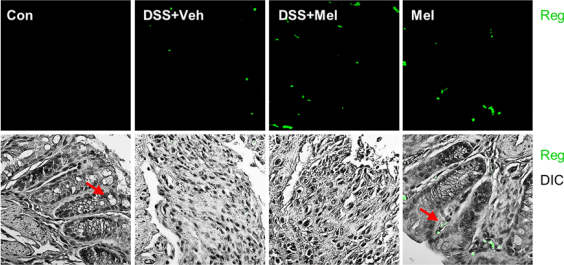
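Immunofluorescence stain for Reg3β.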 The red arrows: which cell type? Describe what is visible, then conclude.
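The arrows point into the epithelium lining the colonic crypts. That points to this answer: goblet cells.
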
